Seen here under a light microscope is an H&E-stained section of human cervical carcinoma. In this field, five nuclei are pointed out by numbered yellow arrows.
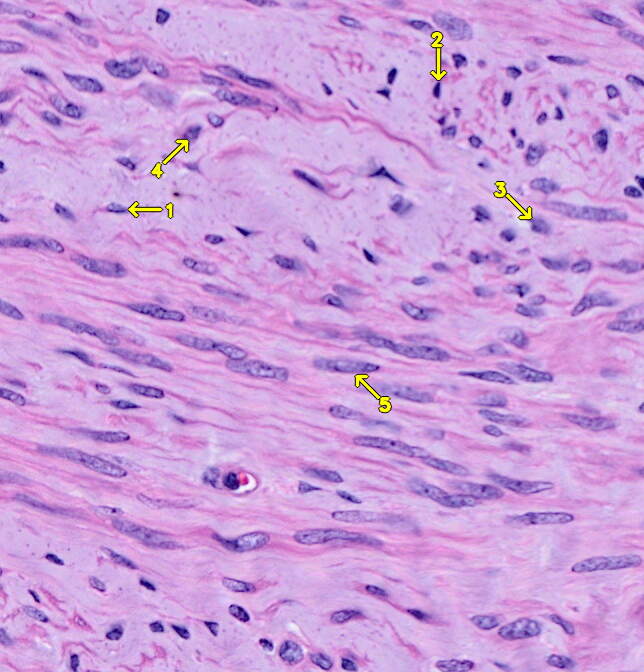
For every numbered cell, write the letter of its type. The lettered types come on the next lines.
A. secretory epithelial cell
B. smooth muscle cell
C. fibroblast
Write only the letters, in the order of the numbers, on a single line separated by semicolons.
C; B; C; B; B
